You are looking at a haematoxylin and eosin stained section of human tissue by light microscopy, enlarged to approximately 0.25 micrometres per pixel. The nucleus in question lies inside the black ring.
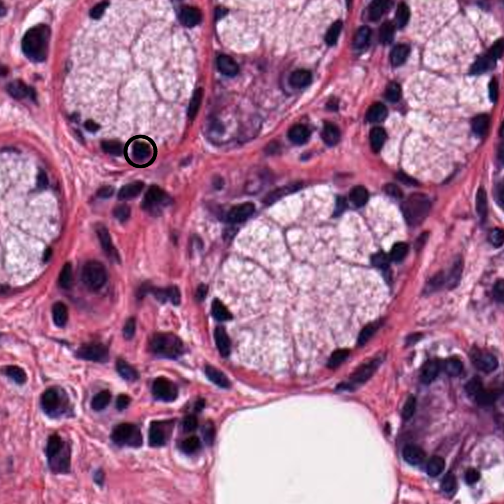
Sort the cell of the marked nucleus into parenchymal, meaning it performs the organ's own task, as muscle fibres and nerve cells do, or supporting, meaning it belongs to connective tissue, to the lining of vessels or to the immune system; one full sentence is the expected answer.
The marked nucleus is part of the parenchyma, belonging to a mucous gland cell.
